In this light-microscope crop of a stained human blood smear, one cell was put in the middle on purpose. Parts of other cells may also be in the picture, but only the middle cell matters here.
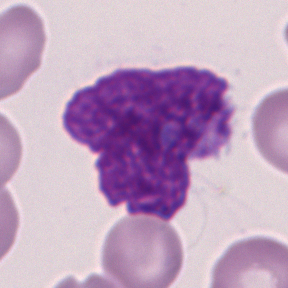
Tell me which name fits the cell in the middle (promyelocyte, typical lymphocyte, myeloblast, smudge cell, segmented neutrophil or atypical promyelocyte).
smudge cell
